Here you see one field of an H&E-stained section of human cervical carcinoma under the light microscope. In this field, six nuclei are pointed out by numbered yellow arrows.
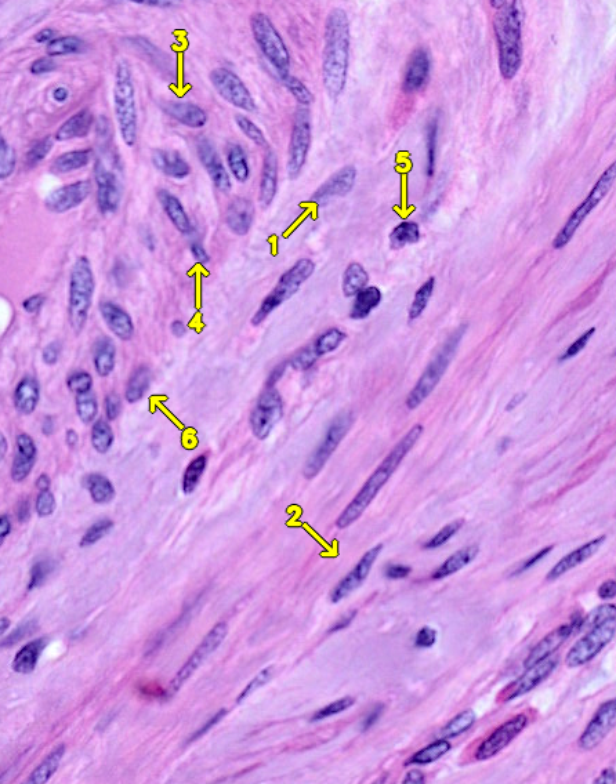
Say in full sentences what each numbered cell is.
Cell 1 is a fibroblast, cell 2 is a fibroblast, cell 3 is a smooth muscle cell, cell 4 is a smooth muscle cell, cell 5 is a lymphocyte and cell 6 is a smooth muscle cell.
